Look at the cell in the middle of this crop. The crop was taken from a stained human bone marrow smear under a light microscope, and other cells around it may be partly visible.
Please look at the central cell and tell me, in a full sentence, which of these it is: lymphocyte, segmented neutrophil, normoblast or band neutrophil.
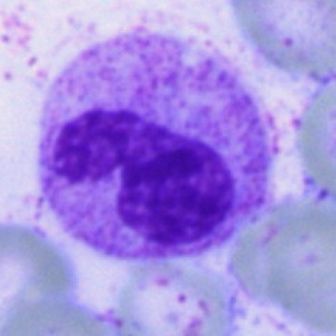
The cell shown in the center of this light-microscope crop is a band neutrophil.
